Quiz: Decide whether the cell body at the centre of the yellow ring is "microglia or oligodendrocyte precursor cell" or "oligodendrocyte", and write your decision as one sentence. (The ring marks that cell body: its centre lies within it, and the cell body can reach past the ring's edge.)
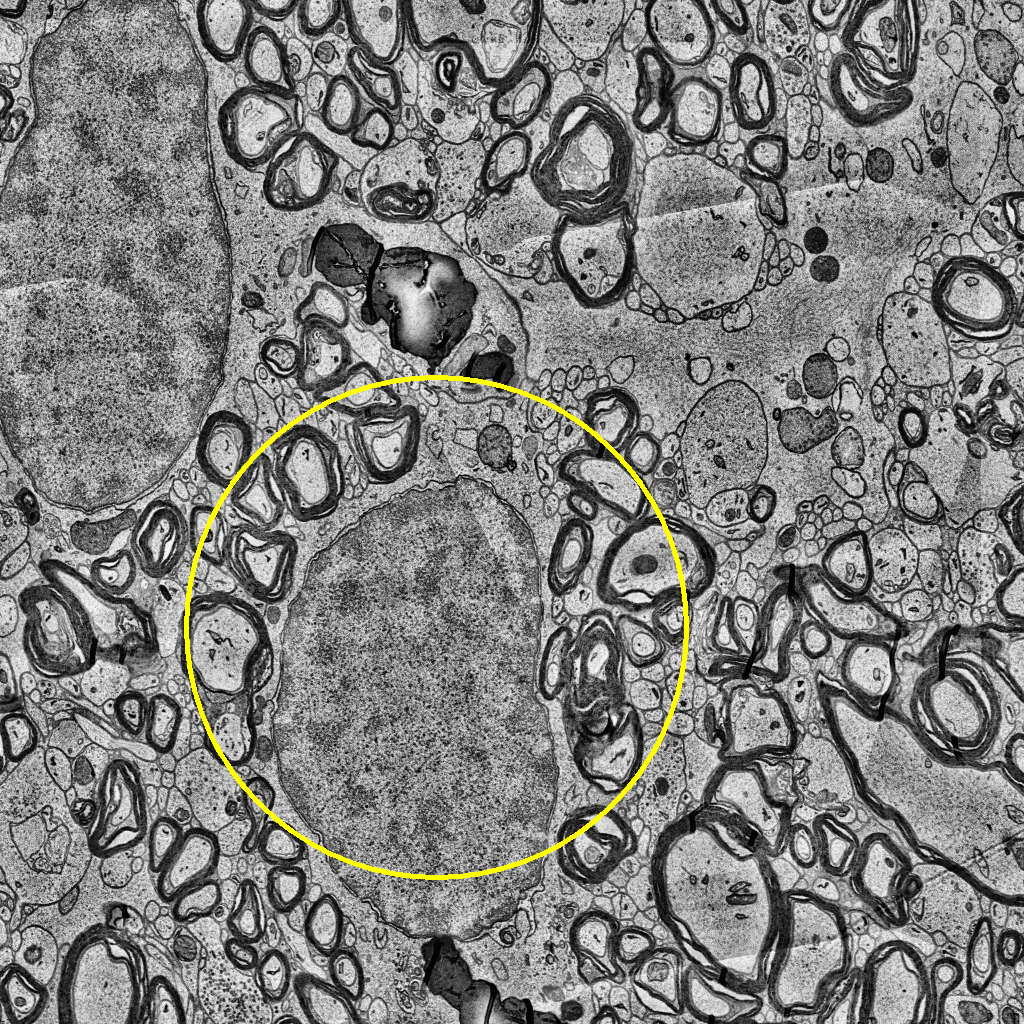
The cell holding the ring's centre is an oligodendrocyte.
